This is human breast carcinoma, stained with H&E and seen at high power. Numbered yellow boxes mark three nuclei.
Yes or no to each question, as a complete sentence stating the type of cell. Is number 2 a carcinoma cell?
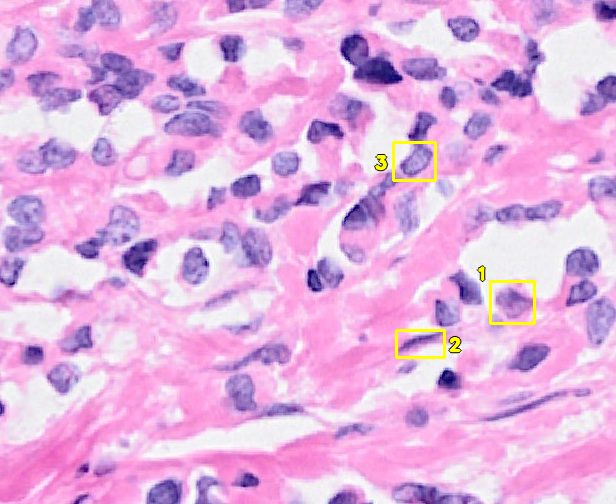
No, the one with number 2 is a fibroblast, not a carcinoma cell.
